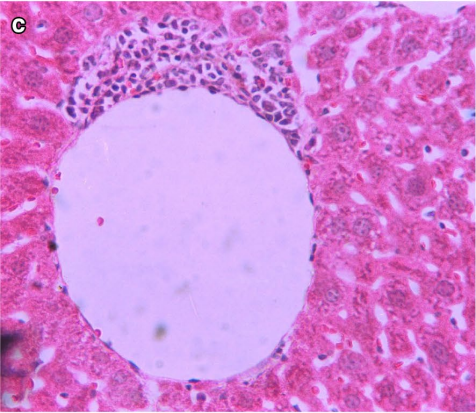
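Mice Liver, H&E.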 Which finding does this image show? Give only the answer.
Focal mononuclear lymphocytic cell infiltration.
